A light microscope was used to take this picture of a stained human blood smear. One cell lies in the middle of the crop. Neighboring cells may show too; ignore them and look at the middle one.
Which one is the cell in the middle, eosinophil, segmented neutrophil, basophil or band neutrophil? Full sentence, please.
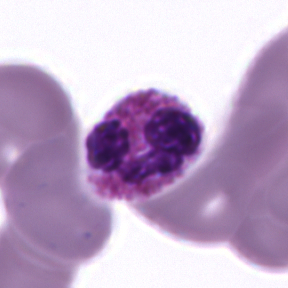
The cell around which this crop is centred is an eosinophil.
